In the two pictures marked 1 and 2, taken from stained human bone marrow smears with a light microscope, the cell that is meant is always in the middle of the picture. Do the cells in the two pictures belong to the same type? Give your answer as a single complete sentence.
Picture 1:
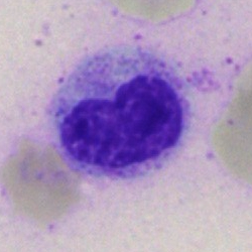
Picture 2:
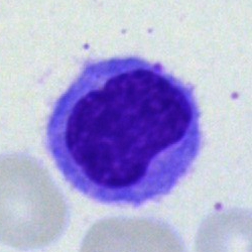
No, picture 1 shows a metamyelocyte and picture 2 shows a monocyte.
